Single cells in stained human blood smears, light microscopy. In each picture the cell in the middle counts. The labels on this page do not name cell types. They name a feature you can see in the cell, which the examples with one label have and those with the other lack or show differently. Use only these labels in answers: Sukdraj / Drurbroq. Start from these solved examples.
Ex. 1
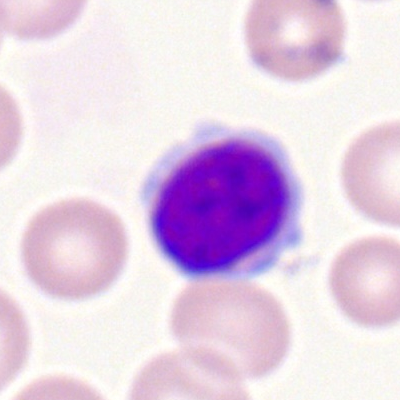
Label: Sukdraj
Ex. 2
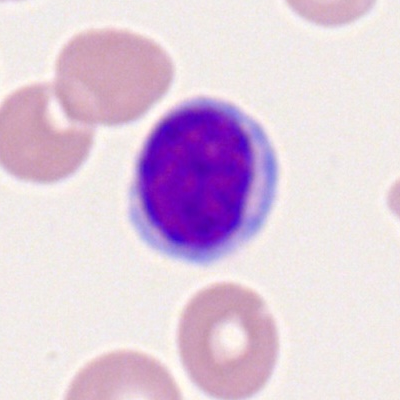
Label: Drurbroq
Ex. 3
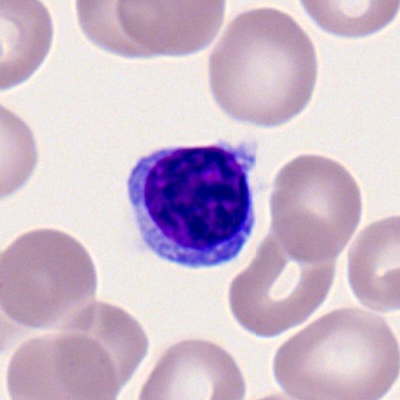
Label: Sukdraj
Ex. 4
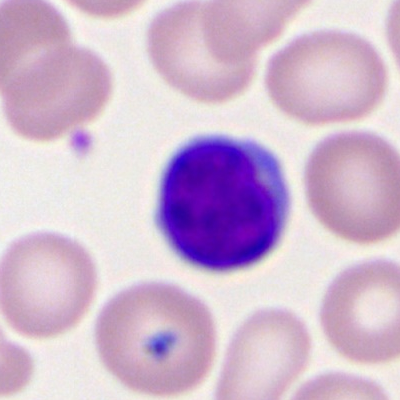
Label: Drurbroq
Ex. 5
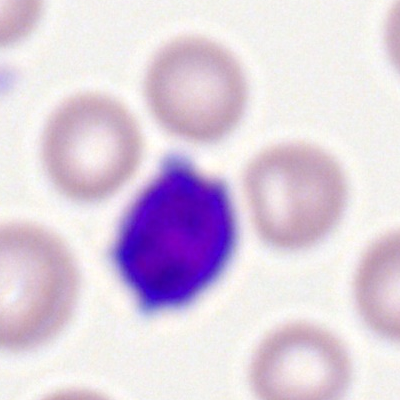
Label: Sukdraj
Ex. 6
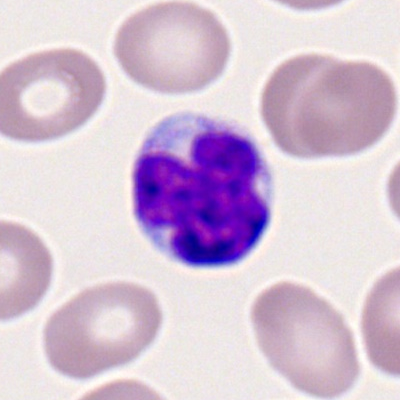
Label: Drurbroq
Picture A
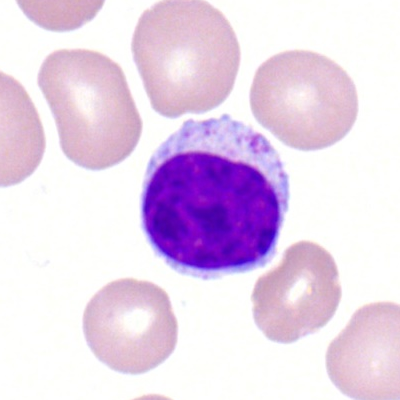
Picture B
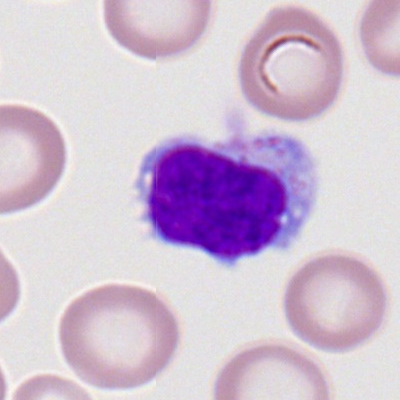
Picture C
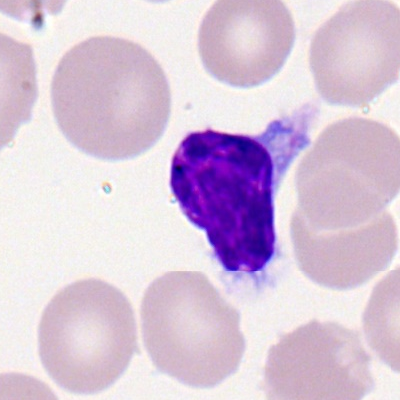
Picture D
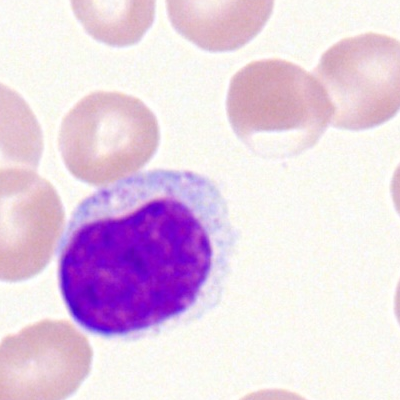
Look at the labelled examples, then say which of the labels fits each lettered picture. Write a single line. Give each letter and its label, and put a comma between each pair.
A Drurbroq, B Sukdraj, C Sukdraj, D Sukdraj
